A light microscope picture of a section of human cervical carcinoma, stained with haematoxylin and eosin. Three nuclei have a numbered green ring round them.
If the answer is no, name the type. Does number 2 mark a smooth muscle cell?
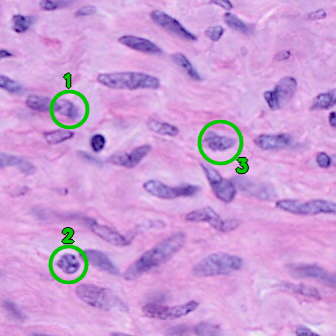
No, it is a lymphocyte.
